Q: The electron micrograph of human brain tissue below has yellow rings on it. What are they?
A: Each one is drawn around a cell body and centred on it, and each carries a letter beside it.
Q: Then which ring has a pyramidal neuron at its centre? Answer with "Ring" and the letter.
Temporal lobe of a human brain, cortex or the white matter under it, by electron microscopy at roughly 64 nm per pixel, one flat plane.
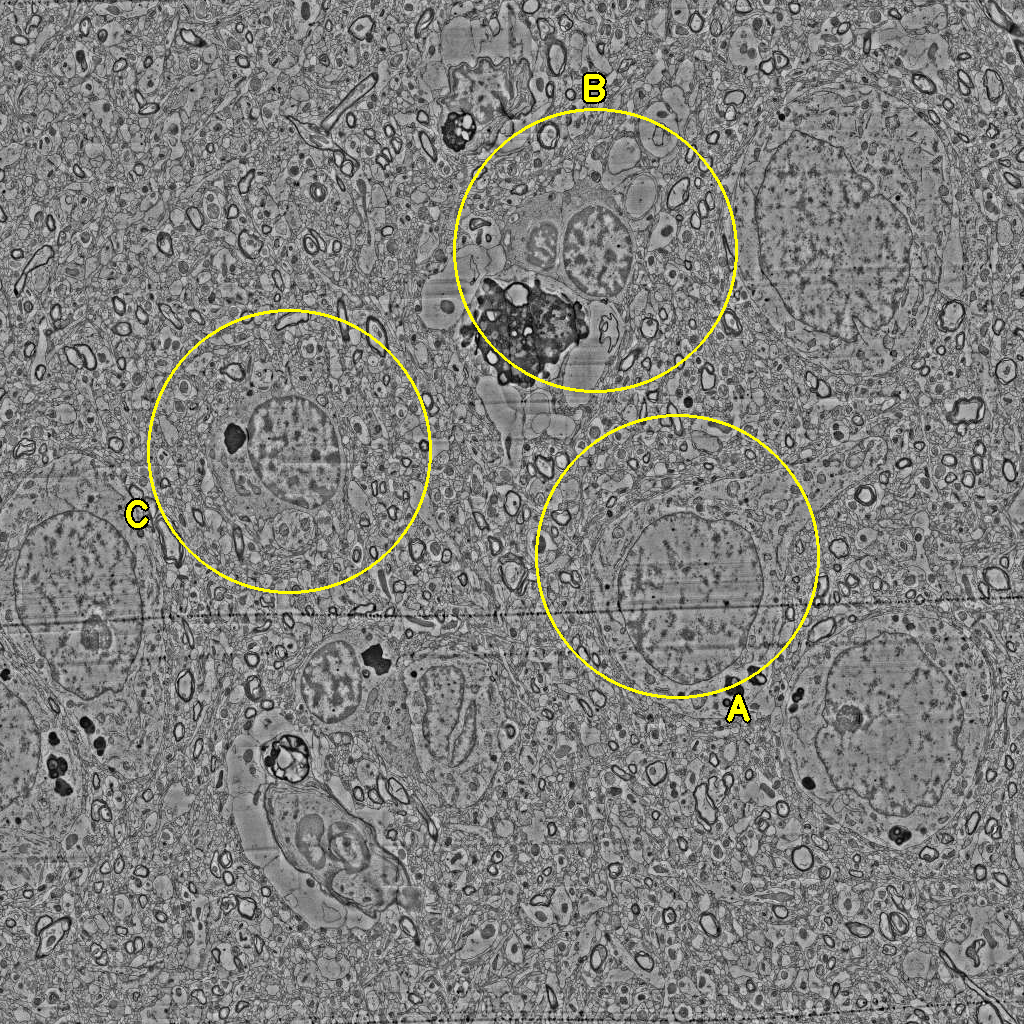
Ring A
